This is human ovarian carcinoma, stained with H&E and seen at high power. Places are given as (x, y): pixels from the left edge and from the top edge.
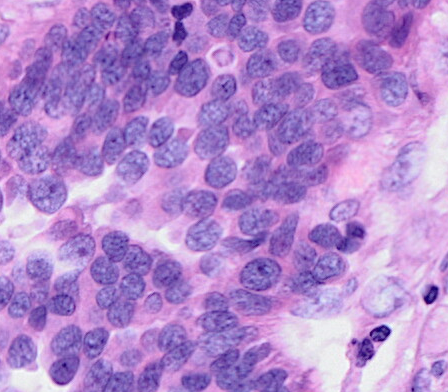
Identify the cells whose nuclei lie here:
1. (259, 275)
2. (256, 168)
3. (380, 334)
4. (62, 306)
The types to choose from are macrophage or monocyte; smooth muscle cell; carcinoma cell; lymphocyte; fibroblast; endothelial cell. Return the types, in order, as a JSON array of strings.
["carcinoma cell", "carcinoma cell", "lymphocyte", "carcinoma cell"]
